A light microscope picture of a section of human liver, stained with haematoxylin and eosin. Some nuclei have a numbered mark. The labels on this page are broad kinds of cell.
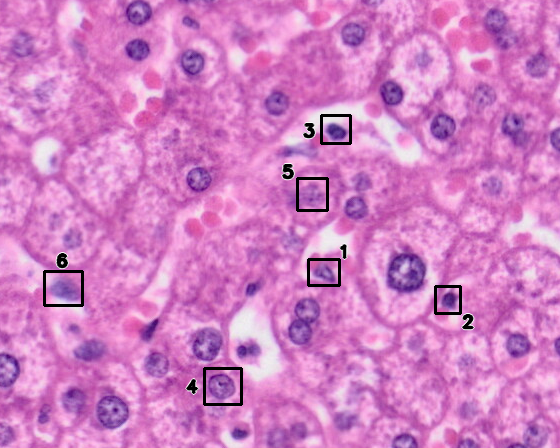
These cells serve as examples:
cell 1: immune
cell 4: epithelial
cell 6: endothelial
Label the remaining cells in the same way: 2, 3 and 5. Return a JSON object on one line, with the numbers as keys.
{"2": "immune", "3": "immune", "5": "epithelial"}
